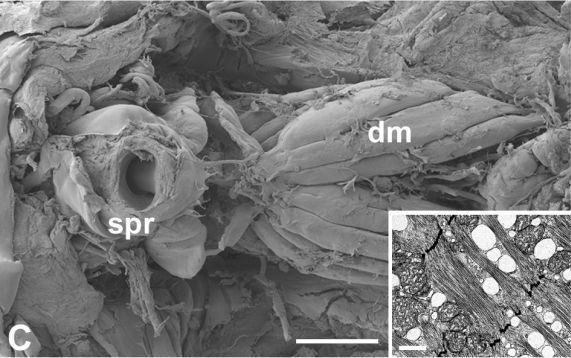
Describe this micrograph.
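The muscle is built of many long, parallel fiber bundles lying side by side, which gives it a striped, cord-like look. The inset shows the same kind of muscle cut lengthwise at much higher magnification, where tightly packed parallel filaments run diagonally across the field. Round pale profiles are scattered among the filaments.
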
